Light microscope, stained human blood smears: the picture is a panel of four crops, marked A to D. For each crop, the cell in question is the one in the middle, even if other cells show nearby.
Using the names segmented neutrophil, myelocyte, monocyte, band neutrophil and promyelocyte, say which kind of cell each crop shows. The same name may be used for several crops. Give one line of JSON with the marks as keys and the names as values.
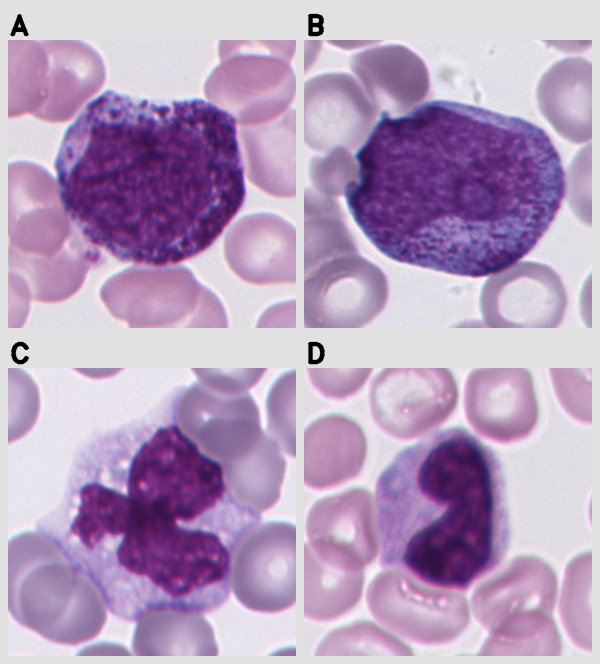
{"A": "promyelocyte", "B": "promyelocyte", "C": "monocyte", "D": "band neutrophil"}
